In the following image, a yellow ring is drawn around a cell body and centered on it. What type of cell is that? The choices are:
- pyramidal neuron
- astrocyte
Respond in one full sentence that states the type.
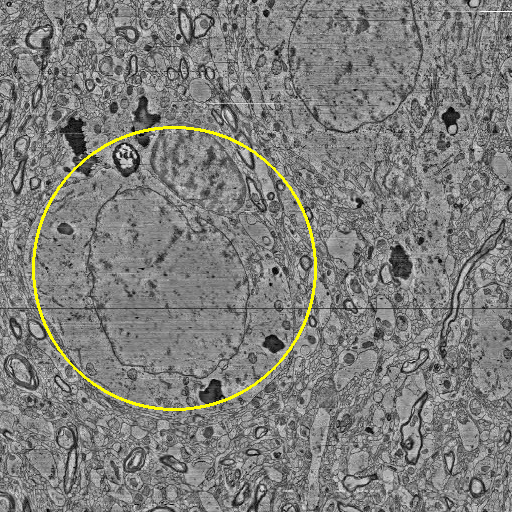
The cell at the center of the yellow ring in the image is a pyramidal neuron.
